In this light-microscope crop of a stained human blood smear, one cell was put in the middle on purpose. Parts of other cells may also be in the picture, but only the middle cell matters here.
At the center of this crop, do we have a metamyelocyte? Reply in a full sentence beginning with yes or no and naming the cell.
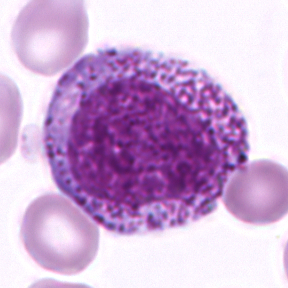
No, the cell in the middle is categorised as a myelocyte, not a metamyelocyte.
